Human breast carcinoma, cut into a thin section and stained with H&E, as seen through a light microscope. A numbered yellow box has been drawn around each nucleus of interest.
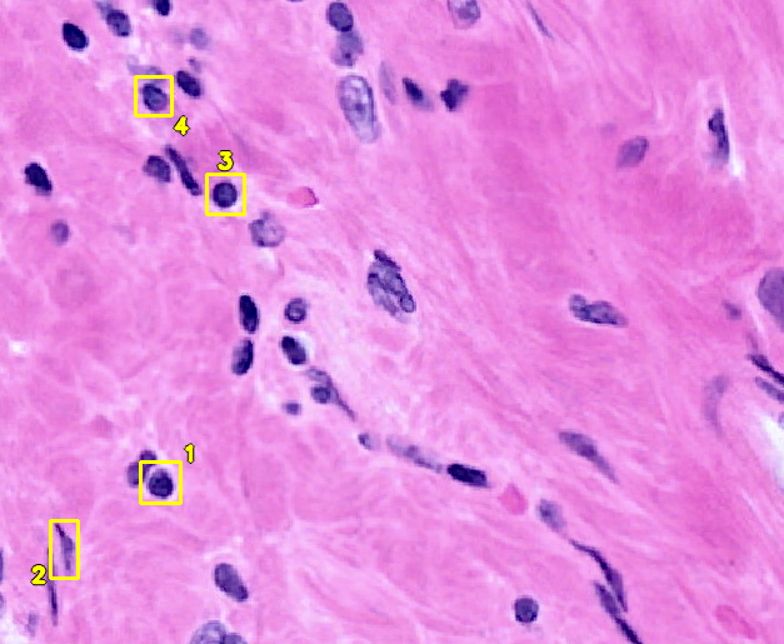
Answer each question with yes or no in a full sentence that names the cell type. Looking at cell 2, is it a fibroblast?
Yes, the cell identified by number 2 is a fibroblast.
